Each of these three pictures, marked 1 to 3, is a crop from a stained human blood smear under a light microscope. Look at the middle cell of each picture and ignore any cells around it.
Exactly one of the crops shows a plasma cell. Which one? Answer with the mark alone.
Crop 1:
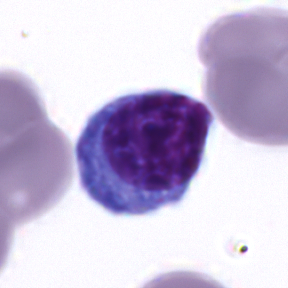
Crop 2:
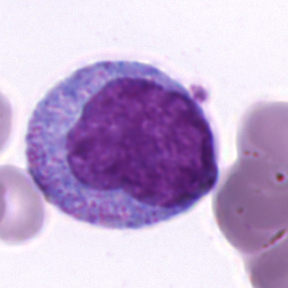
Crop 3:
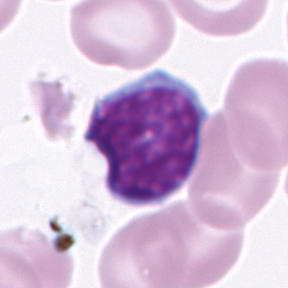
1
